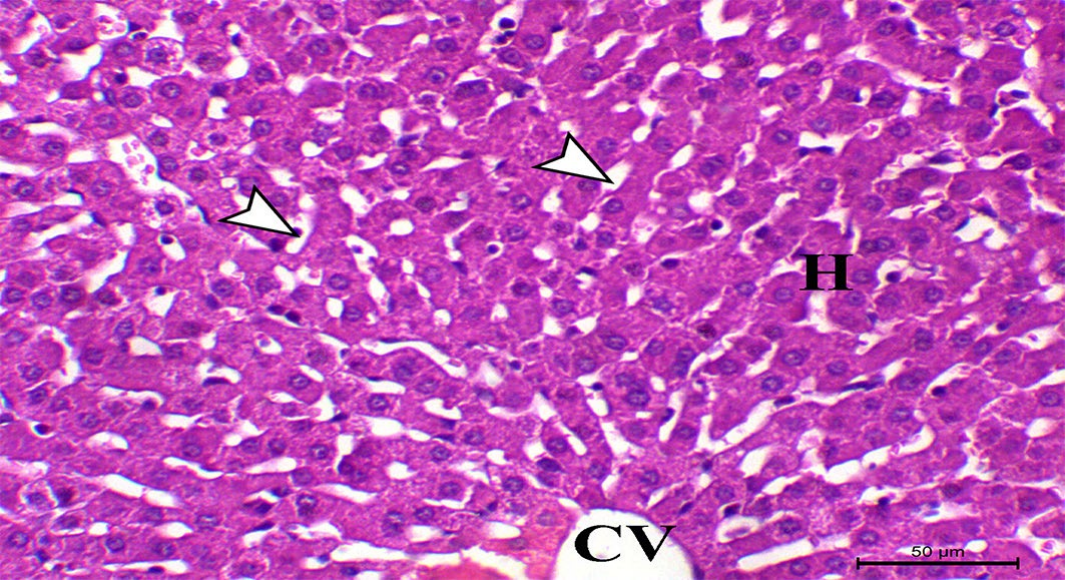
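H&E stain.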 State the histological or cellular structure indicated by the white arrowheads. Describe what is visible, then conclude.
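Sinusoids. The arrowheads point to narrow pale clefts between plates of pink cells. The clefts run roughly radially toward the large round vessel at the bottom. Small dark elongated nuclei line some of the clefts.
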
